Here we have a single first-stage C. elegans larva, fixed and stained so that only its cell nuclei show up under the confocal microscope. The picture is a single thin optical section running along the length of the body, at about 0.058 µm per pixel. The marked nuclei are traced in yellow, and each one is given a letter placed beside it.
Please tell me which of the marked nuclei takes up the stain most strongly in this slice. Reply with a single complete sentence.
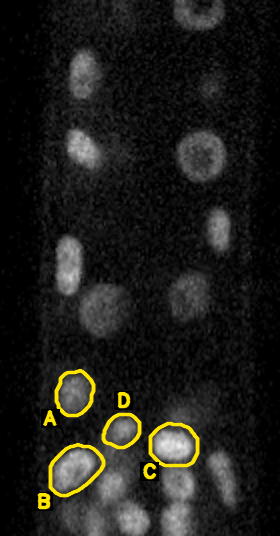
Of the marked nuclei, C takes up the stain most strongly.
